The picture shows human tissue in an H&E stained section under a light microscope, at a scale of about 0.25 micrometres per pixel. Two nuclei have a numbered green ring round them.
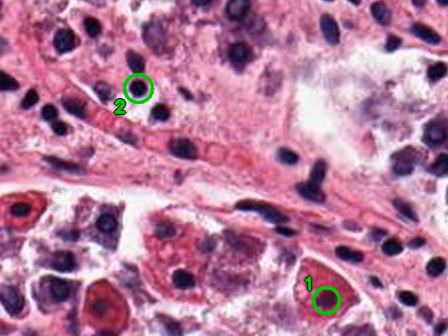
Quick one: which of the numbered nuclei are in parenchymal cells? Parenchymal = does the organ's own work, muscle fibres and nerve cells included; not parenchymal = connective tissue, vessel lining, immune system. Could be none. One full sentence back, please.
Solely nucleus 1 belongs to a parenchymal cell in this section.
